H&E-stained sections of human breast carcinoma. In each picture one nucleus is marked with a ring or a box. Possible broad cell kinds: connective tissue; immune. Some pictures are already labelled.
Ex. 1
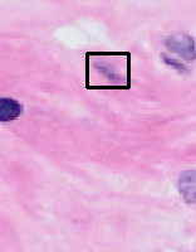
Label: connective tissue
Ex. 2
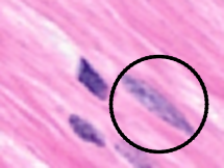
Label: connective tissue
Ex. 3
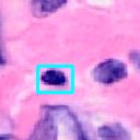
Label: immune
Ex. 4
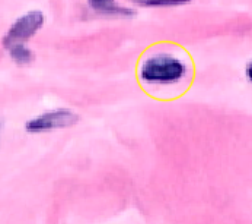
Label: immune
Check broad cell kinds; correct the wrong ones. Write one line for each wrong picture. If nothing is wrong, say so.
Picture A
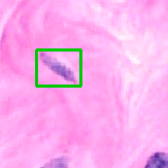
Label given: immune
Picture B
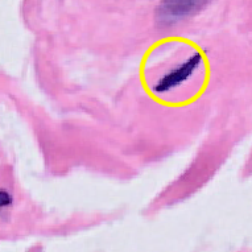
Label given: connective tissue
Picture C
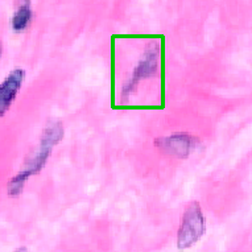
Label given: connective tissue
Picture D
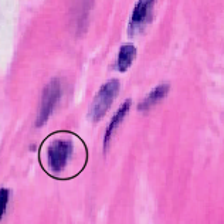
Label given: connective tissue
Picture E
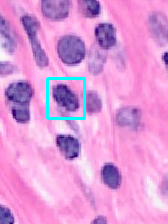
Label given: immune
Wrong: A (immune); correct: connective tissue
Wrong: D (connective tissue); correct: immune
